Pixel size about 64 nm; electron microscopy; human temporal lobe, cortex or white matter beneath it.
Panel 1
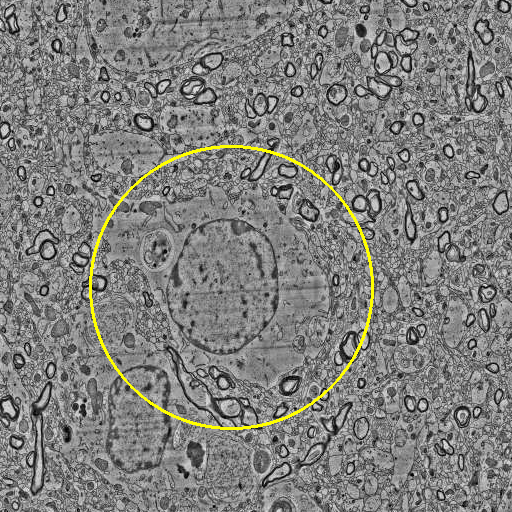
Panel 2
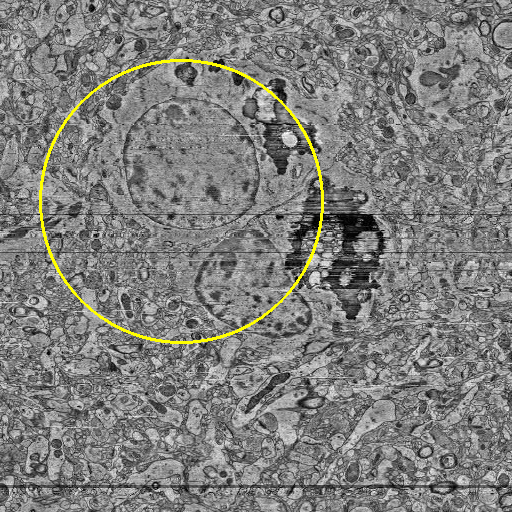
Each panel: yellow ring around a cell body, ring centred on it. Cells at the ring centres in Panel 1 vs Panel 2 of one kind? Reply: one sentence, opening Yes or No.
Yes, Panel 1 and Panel 2 have cells of one kind at the ring centres.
